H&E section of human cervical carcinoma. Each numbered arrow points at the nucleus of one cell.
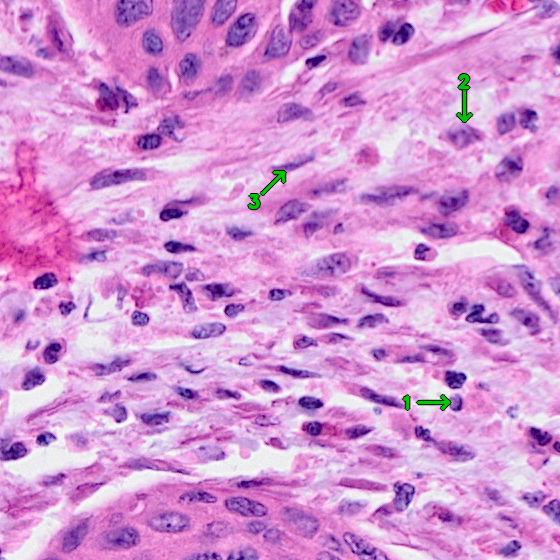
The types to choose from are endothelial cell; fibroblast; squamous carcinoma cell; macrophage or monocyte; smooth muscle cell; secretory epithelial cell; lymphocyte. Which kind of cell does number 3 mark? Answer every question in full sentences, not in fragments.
The cell tagged with 3 in this tissue section is a fibroblast.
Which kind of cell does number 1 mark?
The cell that bears the number 1 is a lymphocyte.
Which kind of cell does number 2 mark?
Here, the cell given the number 2 is a fibroblast.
